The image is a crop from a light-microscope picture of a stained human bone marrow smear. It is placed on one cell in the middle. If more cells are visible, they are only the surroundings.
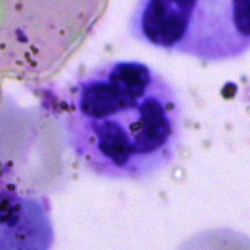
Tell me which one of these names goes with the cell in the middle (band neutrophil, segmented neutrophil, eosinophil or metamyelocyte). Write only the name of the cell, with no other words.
segmented neutrophil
